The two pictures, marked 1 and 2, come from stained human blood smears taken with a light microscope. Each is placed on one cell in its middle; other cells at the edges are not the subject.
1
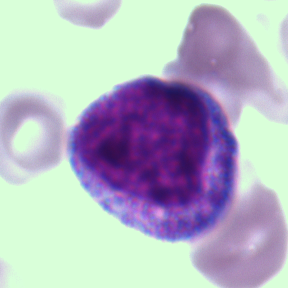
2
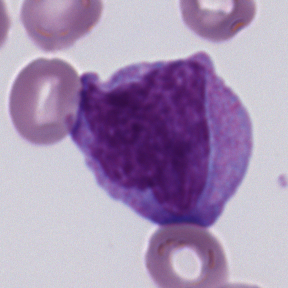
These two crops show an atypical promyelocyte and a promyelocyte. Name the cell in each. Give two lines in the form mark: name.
1: promyelocyte
2: atypical promyelocyte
